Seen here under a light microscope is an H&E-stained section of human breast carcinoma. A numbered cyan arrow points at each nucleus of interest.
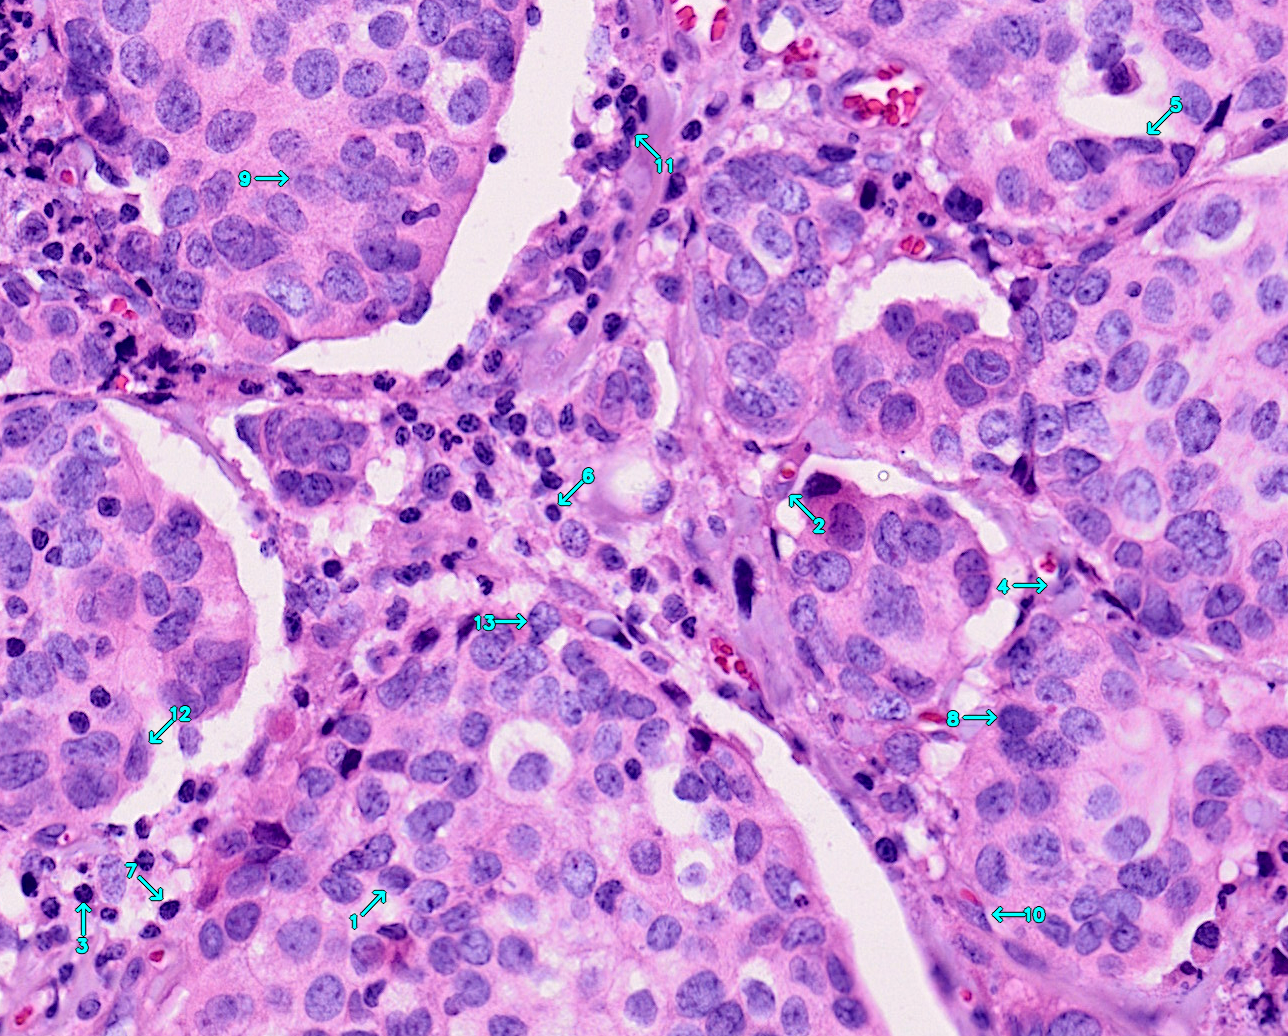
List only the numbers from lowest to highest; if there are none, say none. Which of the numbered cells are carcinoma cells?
1, 5, 8, 9, 12, 13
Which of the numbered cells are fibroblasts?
none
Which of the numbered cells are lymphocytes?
3, 6, 7, 11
